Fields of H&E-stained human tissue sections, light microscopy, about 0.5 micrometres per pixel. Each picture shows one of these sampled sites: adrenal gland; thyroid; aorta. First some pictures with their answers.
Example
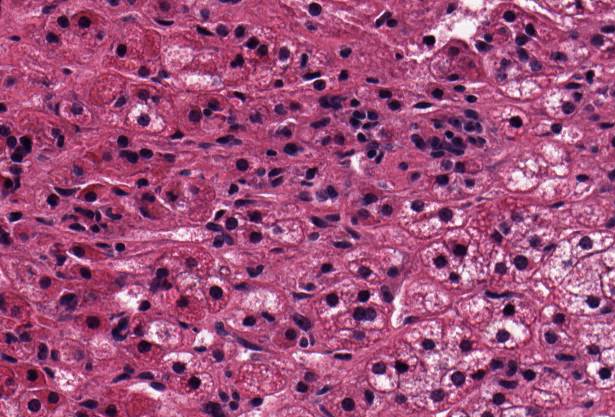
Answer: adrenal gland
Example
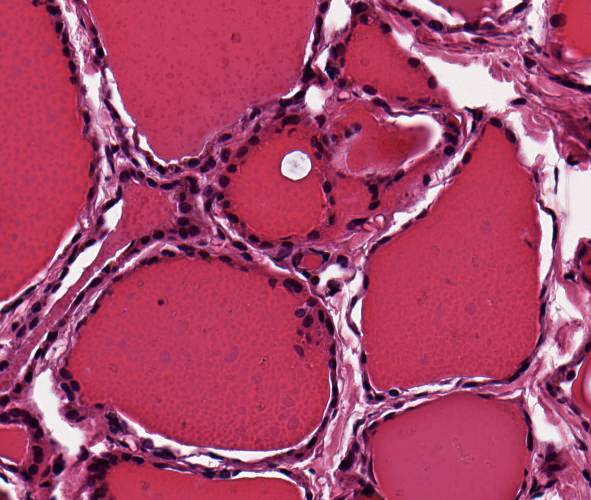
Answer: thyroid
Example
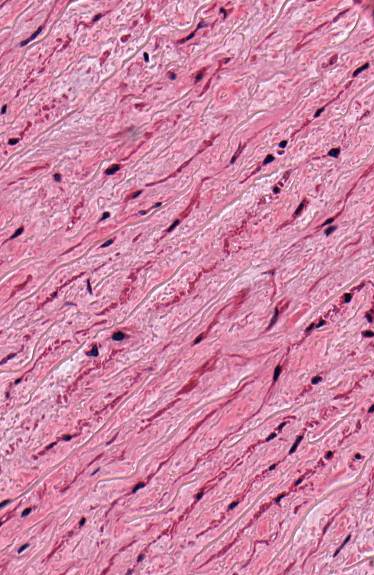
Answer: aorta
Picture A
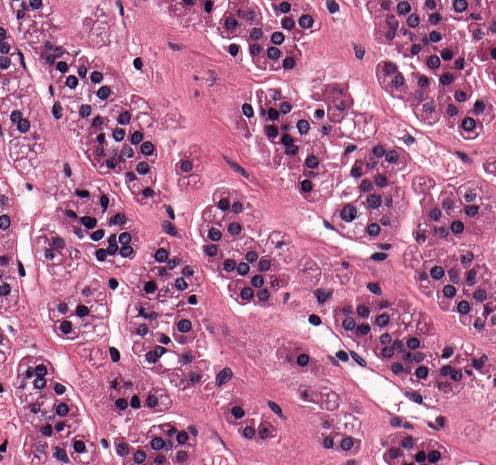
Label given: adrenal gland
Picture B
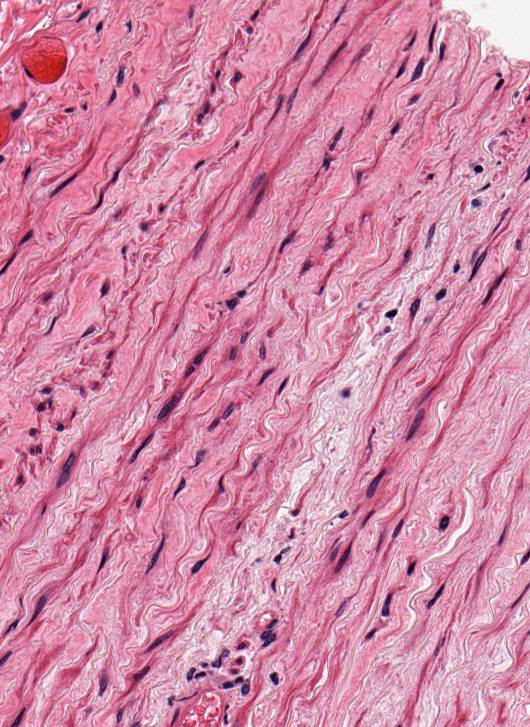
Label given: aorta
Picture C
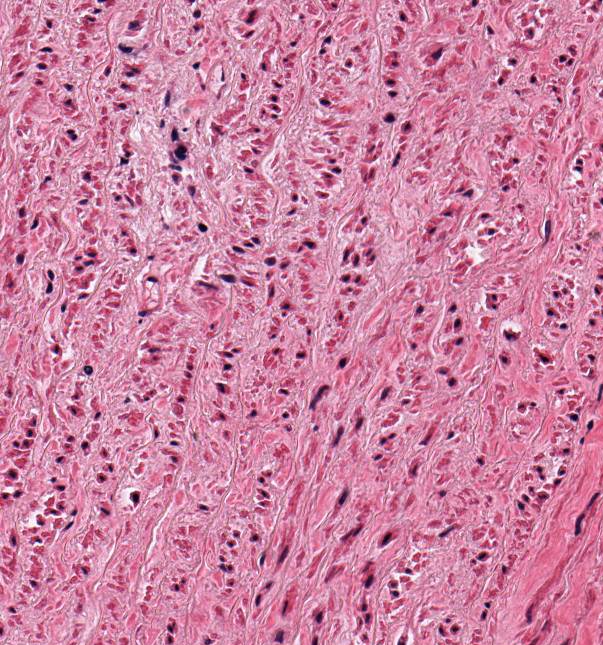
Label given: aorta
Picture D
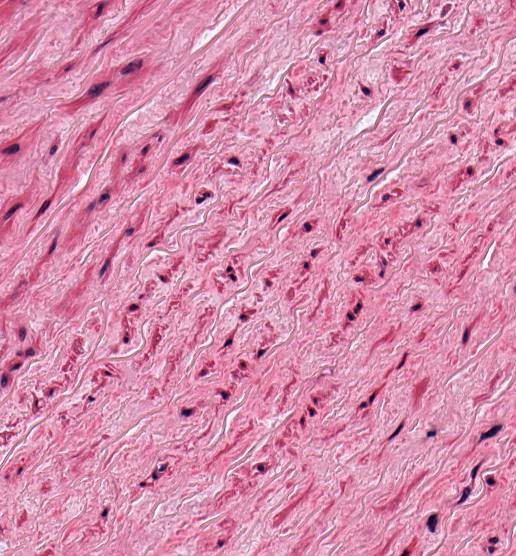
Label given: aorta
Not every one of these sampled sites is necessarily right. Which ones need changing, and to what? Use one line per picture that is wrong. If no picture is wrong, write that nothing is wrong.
Nothing to fix; every label fits.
